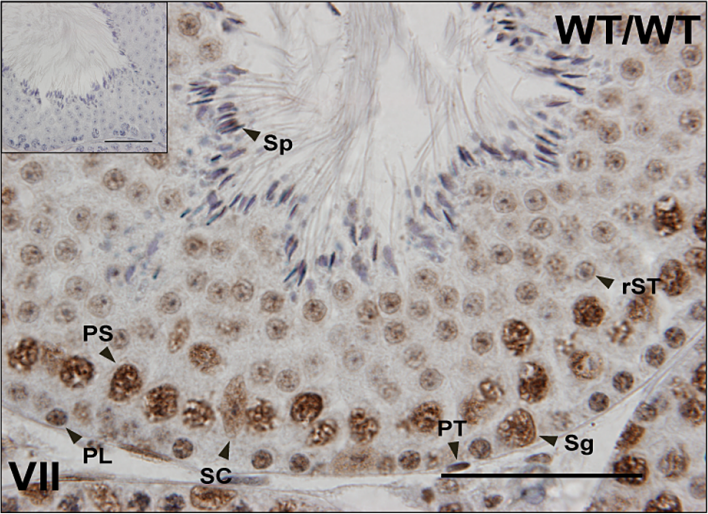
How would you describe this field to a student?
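This is part of a seminiferous tubule cut in cross-section, with germ cells layered from the outer wall toward the lumen. The largest round cells, the pachytene spermatocytes, sit in the middle layers and have big nuclei with coarse, clumped chromatin that stain dark brown. Nearer the lumen lie many smaller round spermatids with round nuclei that carry a lighter brown tint. The lumen holds the slender blue heads of spermatozoa with long pale tails streaming into the centre. At the outer edge, small cells near the wall lie close to the basal layer, and a thin flattened peritubular cell outlines the tubule.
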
